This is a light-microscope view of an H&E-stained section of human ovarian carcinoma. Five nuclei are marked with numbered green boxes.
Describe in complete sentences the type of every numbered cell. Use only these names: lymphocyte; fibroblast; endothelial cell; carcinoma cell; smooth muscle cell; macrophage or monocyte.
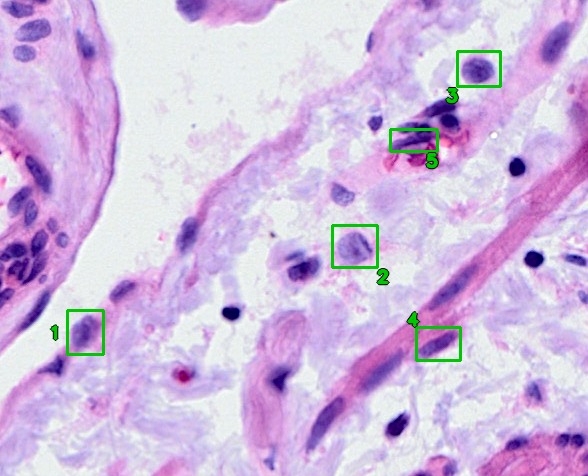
Cells 1 and 5 are endothelial cells. Cells 2 and 3 are fibroblasts. Cell 4 is a smooth muscle cell.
